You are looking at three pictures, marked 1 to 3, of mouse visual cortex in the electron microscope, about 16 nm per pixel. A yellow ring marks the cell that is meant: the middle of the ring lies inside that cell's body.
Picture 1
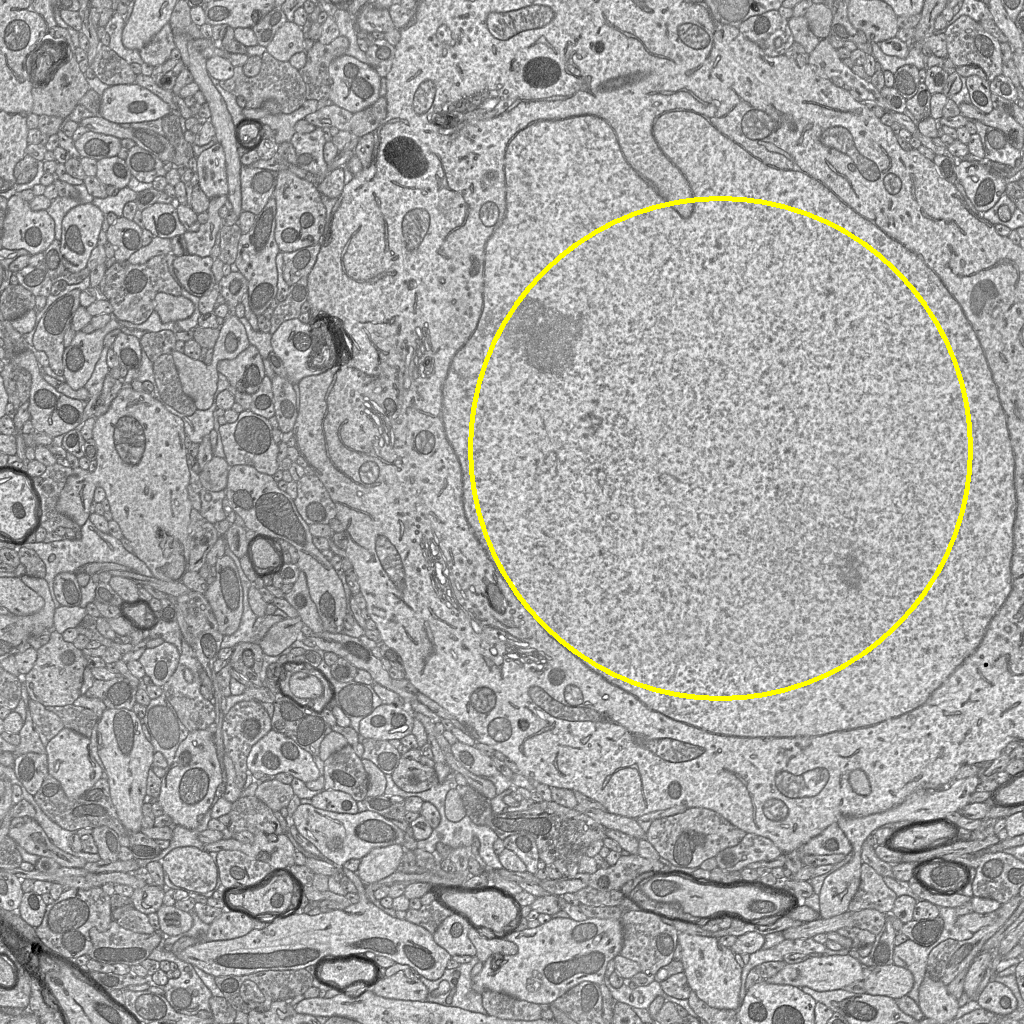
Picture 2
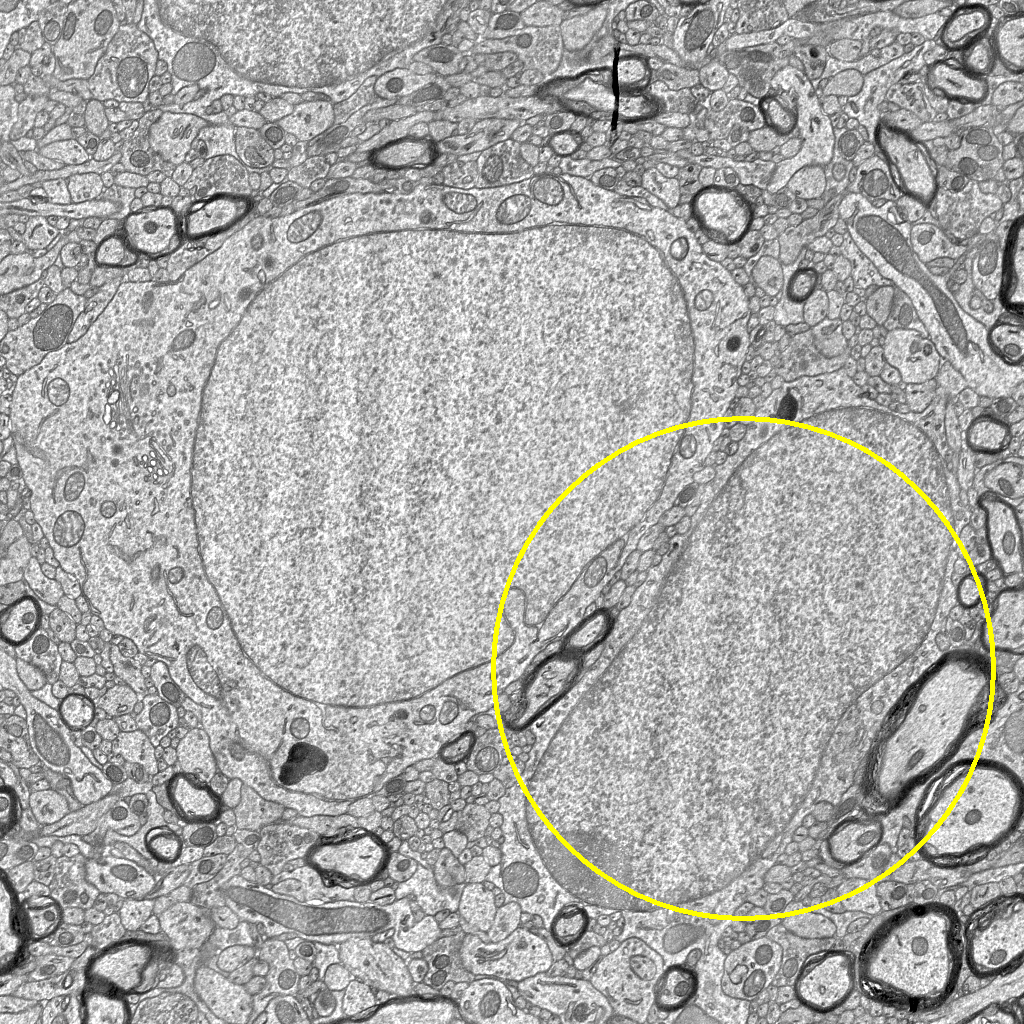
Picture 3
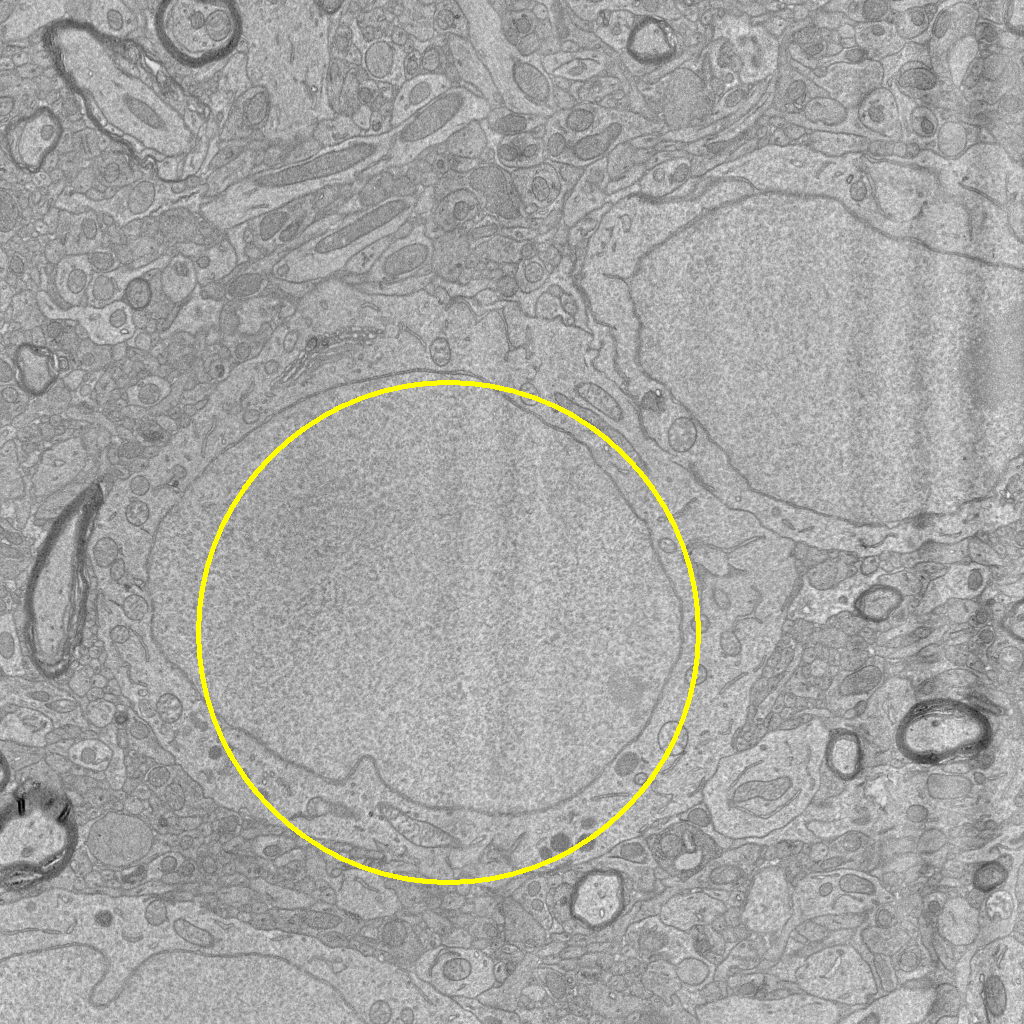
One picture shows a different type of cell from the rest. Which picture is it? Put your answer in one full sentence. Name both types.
Picture 2 differs, because its cell is an astrocyte and the rest are excitatory neurons.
